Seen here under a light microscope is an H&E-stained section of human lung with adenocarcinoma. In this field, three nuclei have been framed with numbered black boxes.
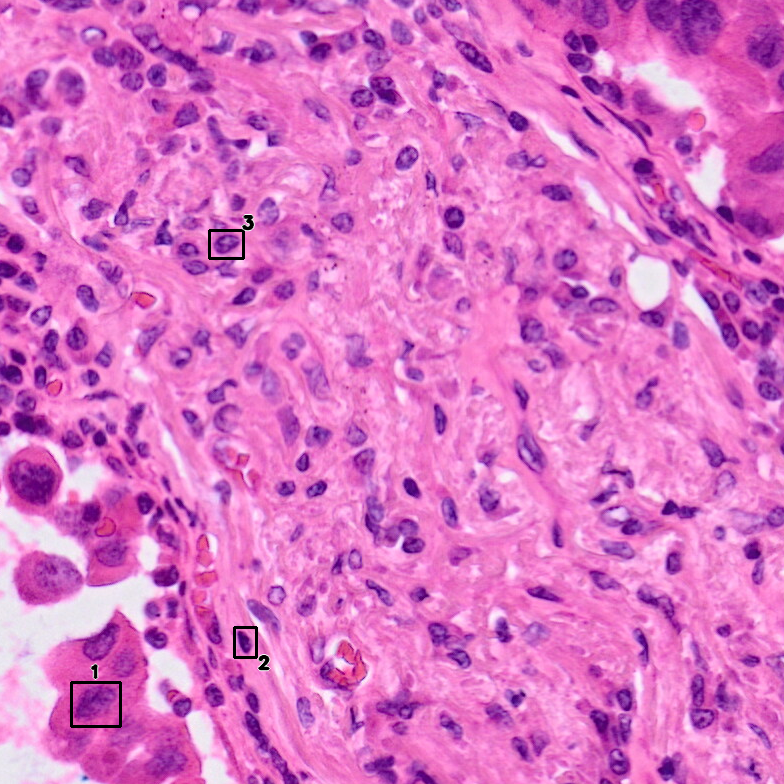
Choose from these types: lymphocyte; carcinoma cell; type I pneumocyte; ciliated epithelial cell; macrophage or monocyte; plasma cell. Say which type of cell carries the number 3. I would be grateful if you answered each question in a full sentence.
At number 3, the marked cell is a plasma cell.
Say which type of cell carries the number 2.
The one labeled 2 is a lymphocyte, to put it simply.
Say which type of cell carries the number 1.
Cell 1 of the marked set is a carcinoma cell.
